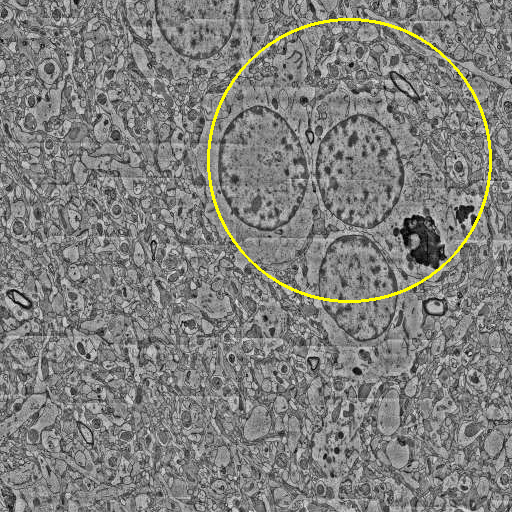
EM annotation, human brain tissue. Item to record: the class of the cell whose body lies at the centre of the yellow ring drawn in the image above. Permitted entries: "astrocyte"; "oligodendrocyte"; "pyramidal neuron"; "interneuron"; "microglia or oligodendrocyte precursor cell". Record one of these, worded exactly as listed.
astrocyte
